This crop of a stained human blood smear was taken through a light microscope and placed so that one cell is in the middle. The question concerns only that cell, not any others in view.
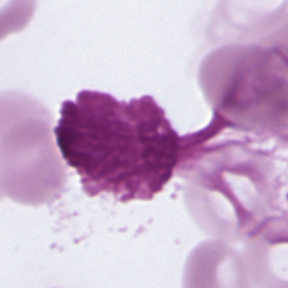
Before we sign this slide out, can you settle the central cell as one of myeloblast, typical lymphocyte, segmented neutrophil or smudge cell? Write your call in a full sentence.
The centrally placed cell is classified as a smudge cell.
